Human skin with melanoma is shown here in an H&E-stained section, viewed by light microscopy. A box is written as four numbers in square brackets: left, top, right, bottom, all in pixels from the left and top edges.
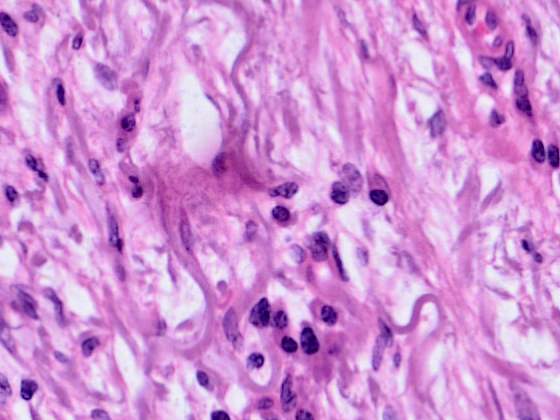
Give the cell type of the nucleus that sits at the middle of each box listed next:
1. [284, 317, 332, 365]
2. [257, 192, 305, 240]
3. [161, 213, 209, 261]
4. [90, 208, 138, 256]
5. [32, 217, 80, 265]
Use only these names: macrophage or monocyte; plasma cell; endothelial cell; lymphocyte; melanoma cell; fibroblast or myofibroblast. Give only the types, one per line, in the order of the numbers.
plasma cell
plasma cell
fibroblast or myofibroblast
fibroblast or myofibroblast
fibroblast or myofibroblast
